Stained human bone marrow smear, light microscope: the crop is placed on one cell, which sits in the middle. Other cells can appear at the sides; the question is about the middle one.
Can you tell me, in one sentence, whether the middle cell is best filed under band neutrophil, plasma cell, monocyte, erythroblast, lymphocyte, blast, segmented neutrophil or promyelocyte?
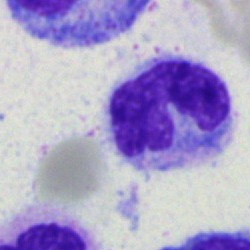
The centrally positioned cell in the crop represents a monocyte.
